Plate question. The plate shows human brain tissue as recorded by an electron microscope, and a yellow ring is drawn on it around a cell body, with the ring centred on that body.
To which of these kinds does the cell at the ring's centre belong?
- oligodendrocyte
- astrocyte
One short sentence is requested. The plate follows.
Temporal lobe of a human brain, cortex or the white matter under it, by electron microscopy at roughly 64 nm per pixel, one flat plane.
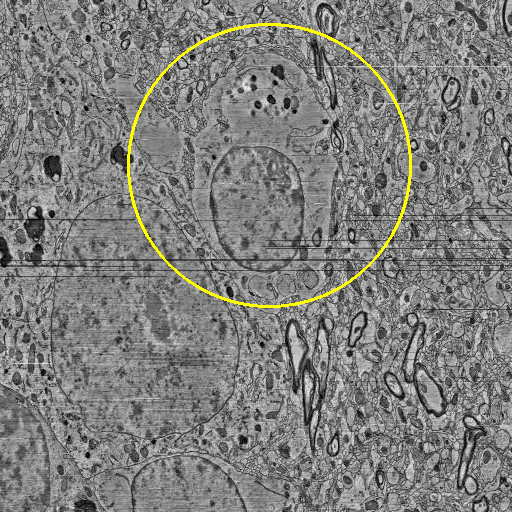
The cell at the ring's centre is an astrocyte.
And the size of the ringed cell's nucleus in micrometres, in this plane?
Roughly 8 micrometres by 6 micrometres, in this plane.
